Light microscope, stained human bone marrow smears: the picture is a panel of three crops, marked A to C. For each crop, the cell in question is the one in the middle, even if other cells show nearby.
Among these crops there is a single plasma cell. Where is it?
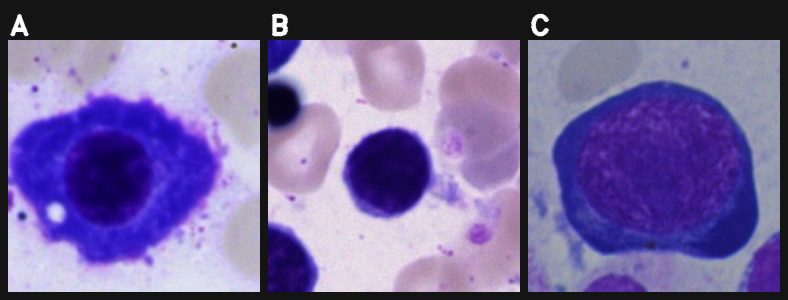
A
